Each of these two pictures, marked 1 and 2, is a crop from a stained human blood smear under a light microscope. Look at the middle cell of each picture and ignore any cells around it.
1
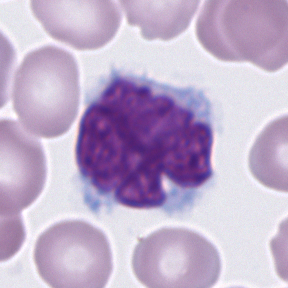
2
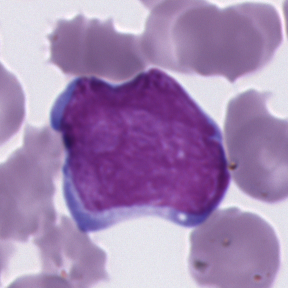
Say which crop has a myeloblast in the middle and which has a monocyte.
1: monocyte
2: myeloblast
